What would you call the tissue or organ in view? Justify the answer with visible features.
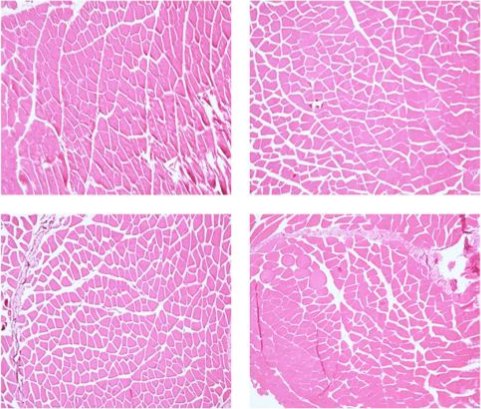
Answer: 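Densely packed polygonal pink fibres cut in cross-section. Fibres grouped into bundles separated by thin white clefts.
Conclusion: skeletal muscle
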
